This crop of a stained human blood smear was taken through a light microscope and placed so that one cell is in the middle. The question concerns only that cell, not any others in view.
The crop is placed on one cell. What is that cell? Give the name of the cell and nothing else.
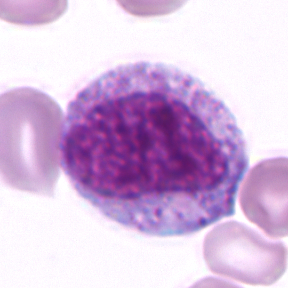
myelocyte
